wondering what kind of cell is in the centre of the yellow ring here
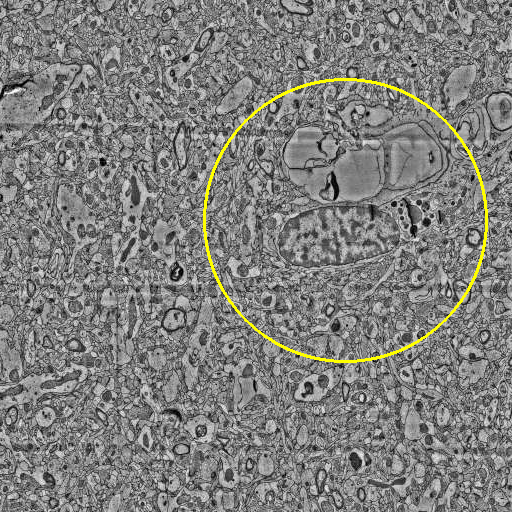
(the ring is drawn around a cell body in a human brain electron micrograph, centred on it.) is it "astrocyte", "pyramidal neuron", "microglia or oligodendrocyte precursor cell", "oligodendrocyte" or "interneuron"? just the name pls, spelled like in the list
microglia or oligodendrocyte precursor cell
